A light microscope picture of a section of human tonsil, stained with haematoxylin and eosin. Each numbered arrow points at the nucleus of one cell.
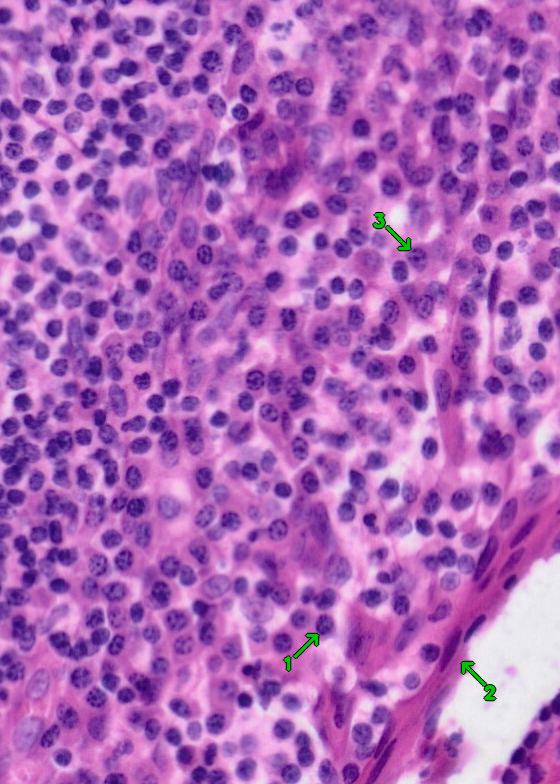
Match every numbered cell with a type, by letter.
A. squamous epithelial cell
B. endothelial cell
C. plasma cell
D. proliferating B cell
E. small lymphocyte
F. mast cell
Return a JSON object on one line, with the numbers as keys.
{"1": "C", "2": "A", "3": "C"}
